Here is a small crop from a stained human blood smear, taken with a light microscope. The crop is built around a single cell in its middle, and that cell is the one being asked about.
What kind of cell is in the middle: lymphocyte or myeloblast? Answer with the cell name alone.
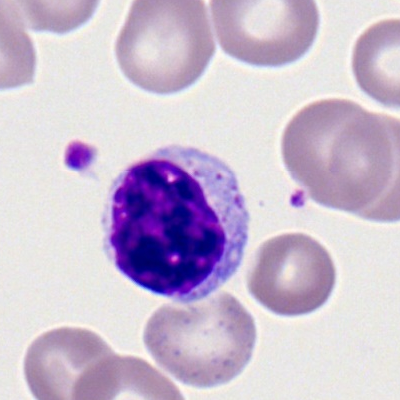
lymphocyte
